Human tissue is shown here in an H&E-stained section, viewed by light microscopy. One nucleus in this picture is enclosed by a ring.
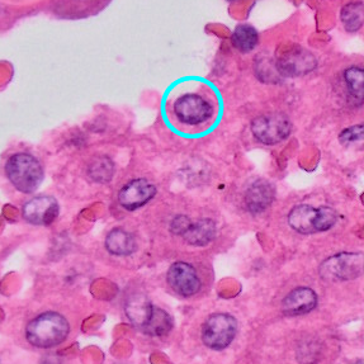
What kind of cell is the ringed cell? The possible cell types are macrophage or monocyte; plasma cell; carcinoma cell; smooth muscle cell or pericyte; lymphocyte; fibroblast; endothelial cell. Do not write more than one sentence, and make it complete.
Speaking plainly, the ringed cell is nothing other than a macrophage or monocyte.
